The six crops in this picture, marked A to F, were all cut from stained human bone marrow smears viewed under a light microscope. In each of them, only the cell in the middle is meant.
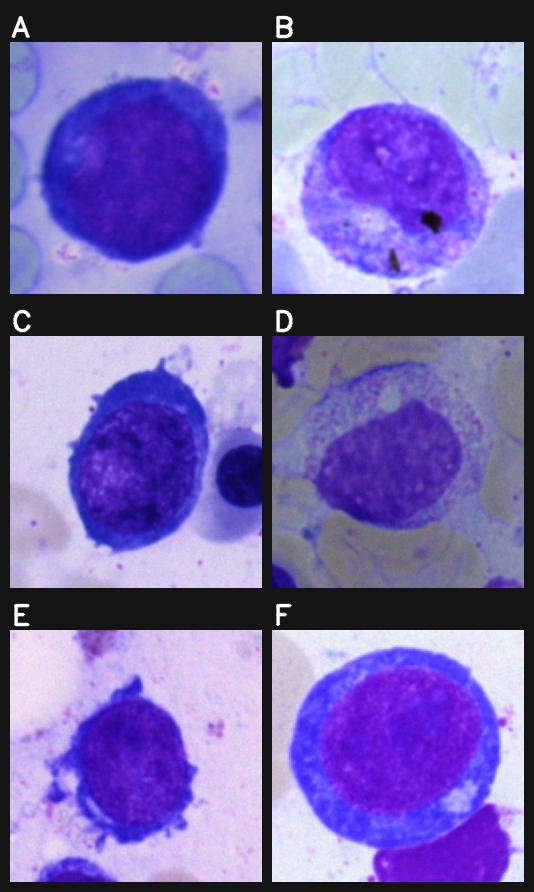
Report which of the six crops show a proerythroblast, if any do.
A, C, E, F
